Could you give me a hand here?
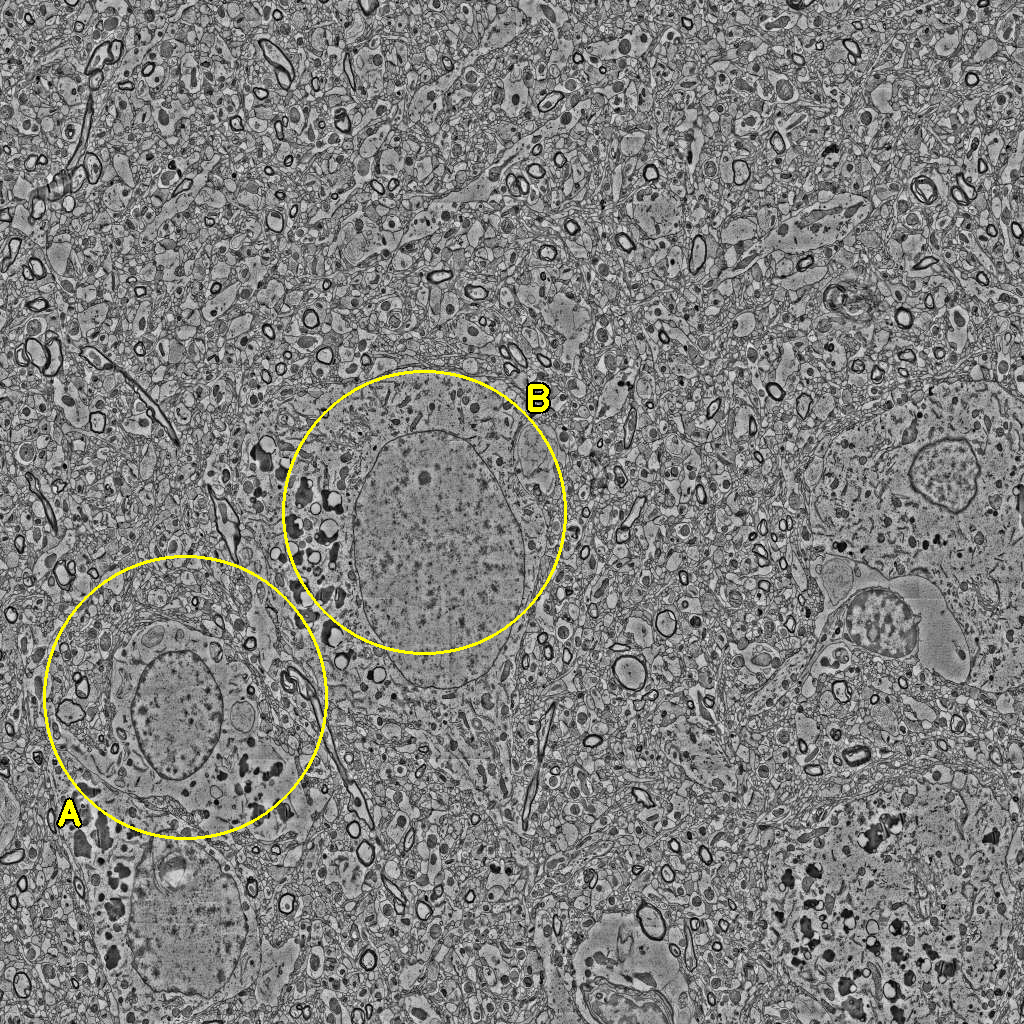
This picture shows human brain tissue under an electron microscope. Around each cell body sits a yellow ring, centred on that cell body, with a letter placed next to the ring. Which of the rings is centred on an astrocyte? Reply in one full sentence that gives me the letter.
The cell asked for sits at the centre of ring A in the picture.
